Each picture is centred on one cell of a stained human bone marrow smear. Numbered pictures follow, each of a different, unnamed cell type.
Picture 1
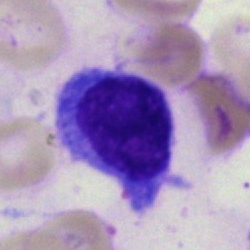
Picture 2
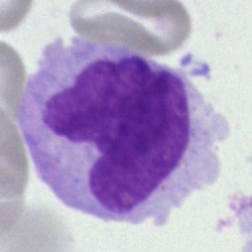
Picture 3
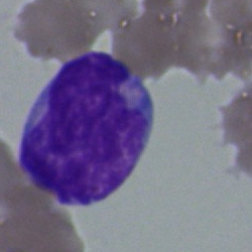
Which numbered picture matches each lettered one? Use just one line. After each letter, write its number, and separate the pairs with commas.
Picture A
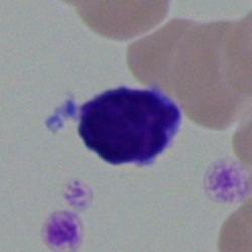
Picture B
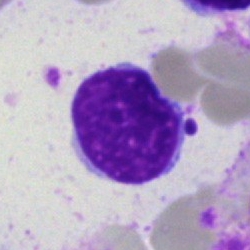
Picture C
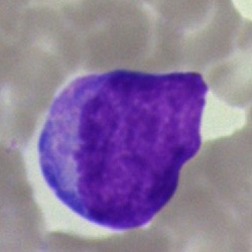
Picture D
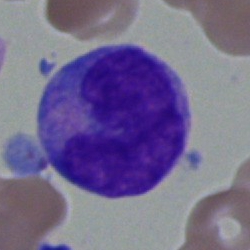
A 1, B 1, C 3, D 2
